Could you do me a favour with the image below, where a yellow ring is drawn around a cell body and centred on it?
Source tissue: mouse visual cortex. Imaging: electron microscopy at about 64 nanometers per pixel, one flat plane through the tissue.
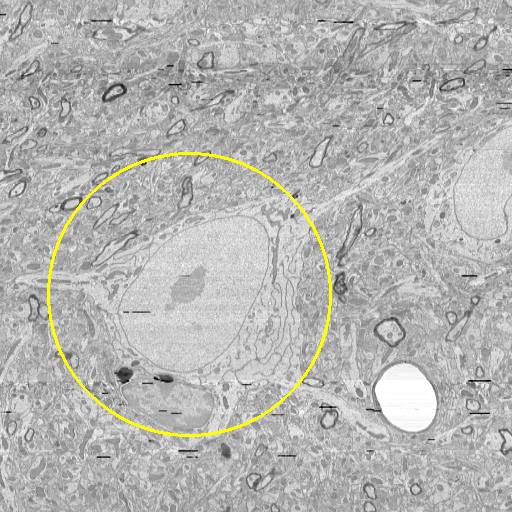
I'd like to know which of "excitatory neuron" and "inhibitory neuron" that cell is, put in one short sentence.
The cell at the ring's centre is an excitatory neuron.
